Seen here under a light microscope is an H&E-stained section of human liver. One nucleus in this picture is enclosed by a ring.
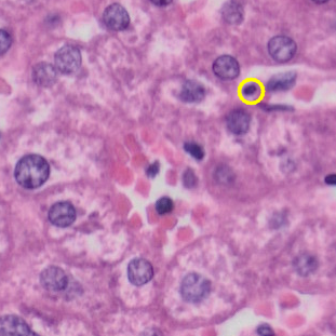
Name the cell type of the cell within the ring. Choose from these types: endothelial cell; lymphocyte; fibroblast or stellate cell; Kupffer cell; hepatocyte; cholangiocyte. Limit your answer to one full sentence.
In the tissue under study, the cell within the ring is a lymphocyte.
